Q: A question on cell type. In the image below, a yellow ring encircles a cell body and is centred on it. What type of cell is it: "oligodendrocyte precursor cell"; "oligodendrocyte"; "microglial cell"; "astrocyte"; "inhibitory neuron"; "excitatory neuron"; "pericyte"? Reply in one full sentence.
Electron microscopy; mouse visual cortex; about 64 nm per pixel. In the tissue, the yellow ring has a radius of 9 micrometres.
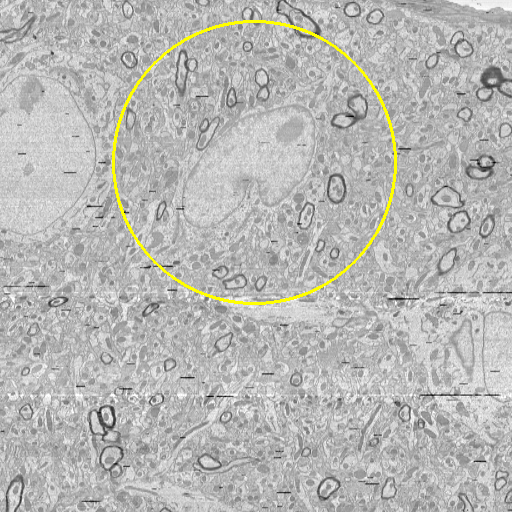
It is an astrocyte whose cell body sits at the centre of the yellow ring in the image.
